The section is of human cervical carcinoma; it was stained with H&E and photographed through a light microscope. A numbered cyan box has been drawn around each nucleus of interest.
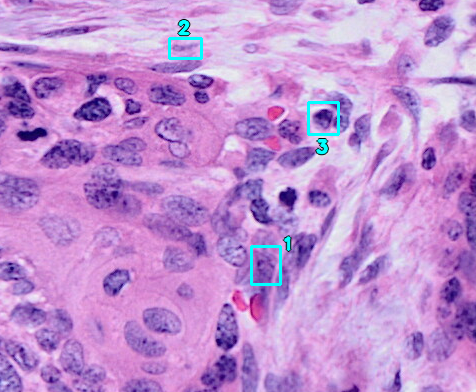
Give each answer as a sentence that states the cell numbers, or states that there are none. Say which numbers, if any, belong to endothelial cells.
With the exception of cell 1, no marked cell is an endothelial cell.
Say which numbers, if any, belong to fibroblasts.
Of the cells carrying numbers, just cell 2 is a fibroblast.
